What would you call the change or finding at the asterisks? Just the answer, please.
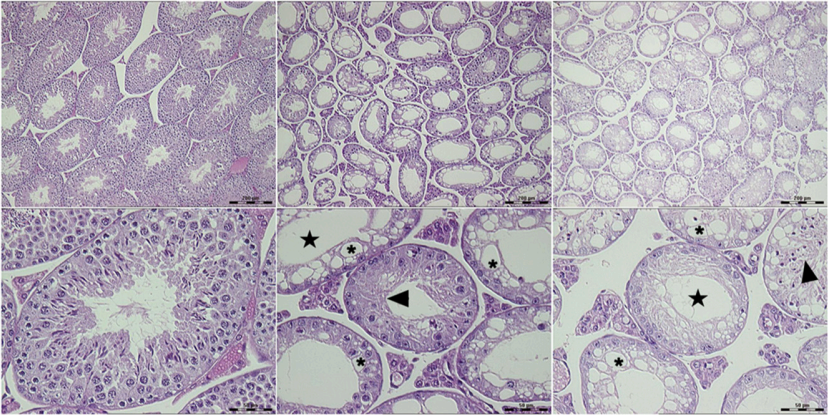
Vacuolar degeneration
